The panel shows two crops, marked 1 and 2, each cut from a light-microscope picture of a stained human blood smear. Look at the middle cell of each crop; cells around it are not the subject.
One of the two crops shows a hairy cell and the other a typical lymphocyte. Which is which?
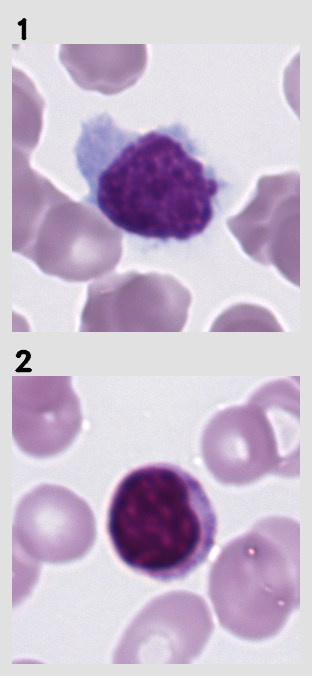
1: hairy cell
2: typical lymphocyte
